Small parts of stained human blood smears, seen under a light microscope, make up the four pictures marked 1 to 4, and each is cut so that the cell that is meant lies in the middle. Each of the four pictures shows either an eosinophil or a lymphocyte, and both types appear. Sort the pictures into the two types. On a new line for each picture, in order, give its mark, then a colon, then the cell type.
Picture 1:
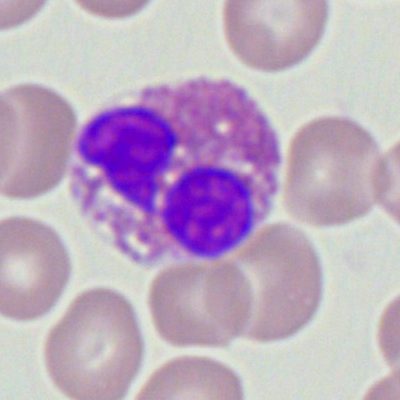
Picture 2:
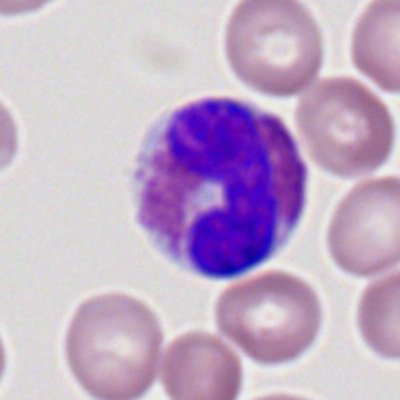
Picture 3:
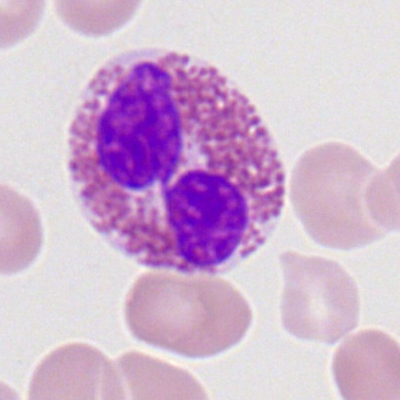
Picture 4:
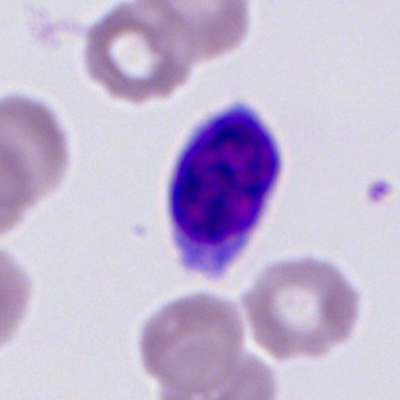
1: eosinophil
2: eosinophil
3: eosinophil
4: lymphocyte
